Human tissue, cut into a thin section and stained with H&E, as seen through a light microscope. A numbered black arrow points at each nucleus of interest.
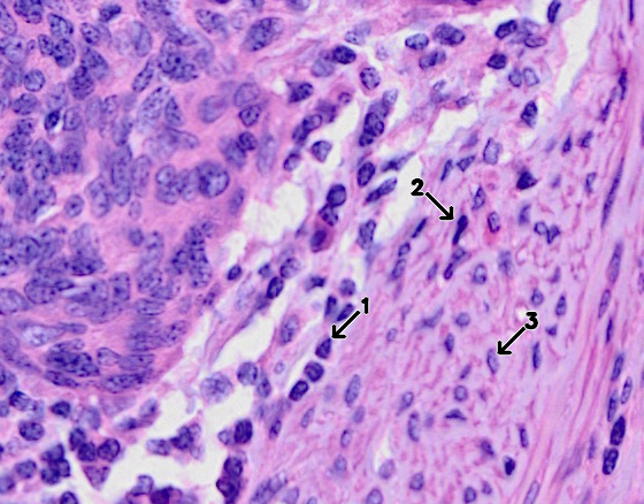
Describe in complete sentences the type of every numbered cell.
Cells 1 and 2 are lymphocytes. Cell 3 is a smooth muscle cell.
